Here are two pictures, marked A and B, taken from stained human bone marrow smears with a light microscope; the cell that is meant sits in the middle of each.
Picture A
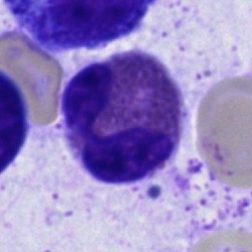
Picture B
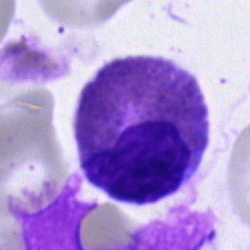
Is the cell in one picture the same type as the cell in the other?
yes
